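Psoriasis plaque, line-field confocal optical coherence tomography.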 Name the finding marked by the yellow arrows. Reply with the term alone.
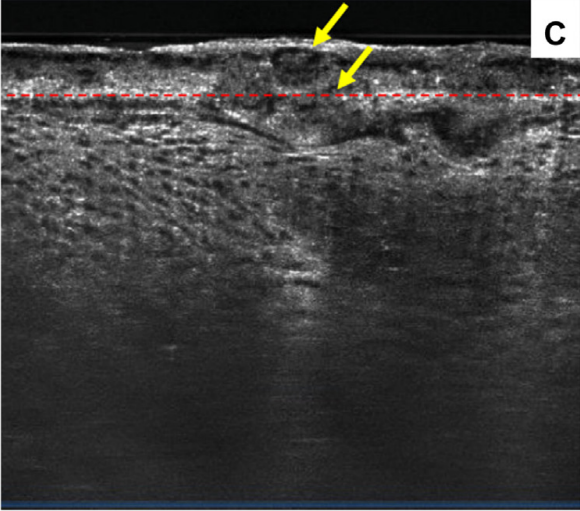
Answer: Collections of neutrophils within the stratum corneum.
